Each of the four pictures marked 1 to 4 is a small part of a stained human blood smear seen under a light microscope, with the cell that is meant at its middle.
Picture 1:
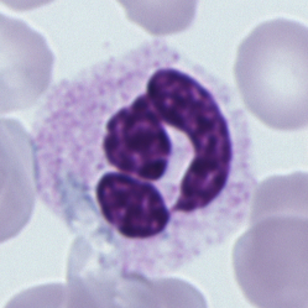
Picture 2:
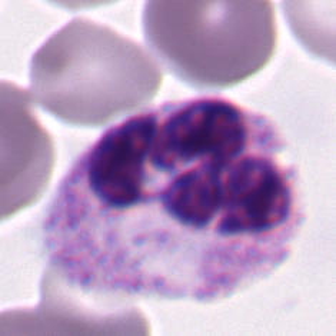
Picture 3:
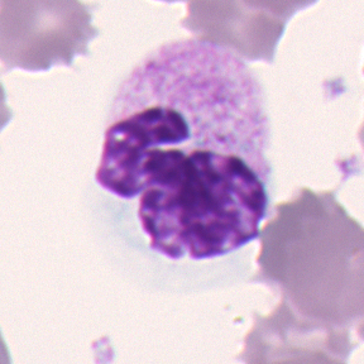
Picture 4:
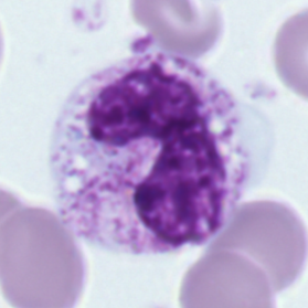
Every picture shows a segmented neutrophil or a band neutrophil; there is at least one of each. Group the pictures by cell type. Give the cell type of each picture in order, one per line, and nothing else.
segmented neutrophil
segmented neutrophil
segmented neutrophil
band neutrophil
